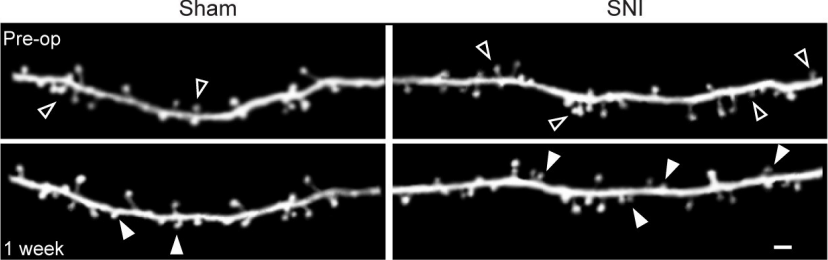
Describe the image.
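Along each shaft project numerous short dendritic spines, some as small round heads on thin necks, others as stubby knobs. Empty arrowheads in the upper images point at spines, and filled arrowheads in the lower images point at spines at other sites along the shaft. No cell bodies are seen in the field.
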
